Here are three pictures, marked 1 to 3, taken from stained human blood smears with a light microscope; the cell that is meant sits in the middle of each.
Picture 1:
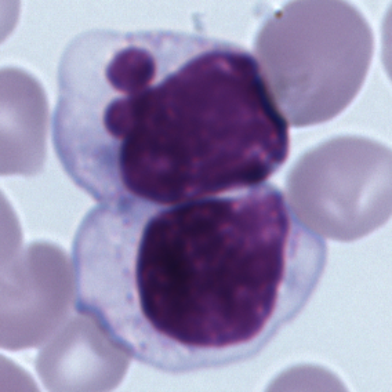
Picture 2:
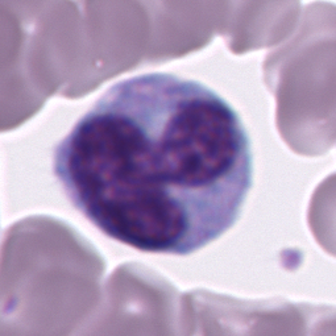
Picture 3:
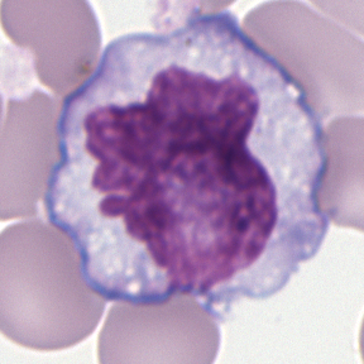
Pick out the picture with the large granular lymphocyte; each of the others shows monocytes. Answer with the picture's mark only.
1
